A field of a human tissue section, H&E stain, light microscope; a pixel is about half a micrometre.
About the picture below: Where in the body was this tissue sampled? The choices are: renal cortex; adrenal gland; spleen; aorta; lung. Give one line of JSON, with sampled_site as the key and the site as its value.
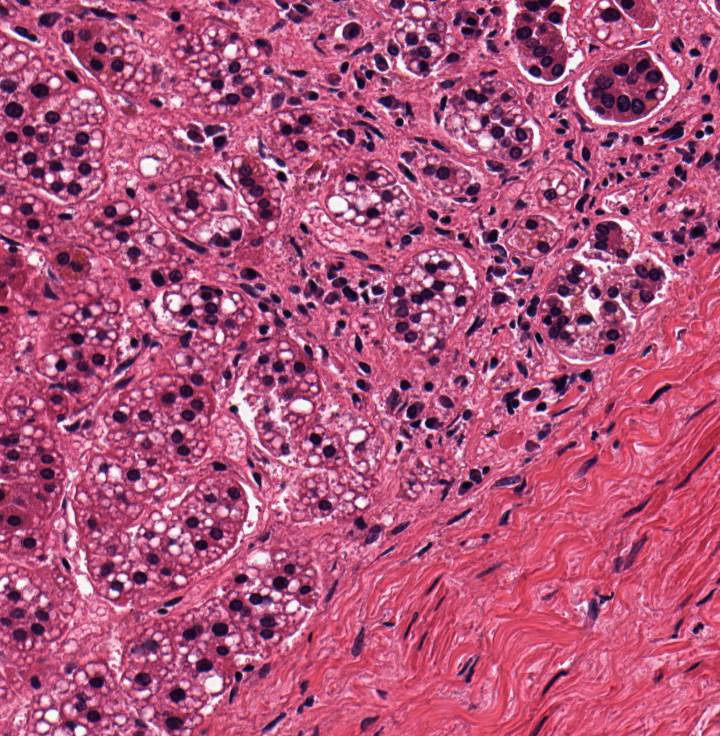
{"sampled_site": "adrenal gland"}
